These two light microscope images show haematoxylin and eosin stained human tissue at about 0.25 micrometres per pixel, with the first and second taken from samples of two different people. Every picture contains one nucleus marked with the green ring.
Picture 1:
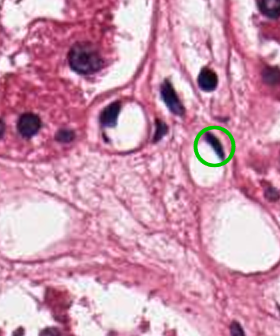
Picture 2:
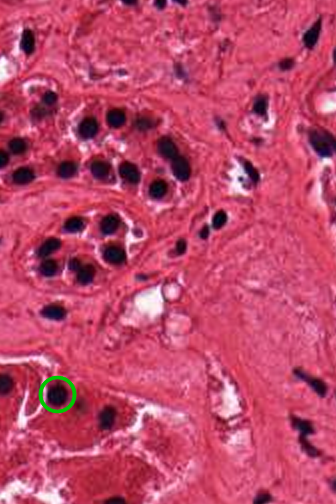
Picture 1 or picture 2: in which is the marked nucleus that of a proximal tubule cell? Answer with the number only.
2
